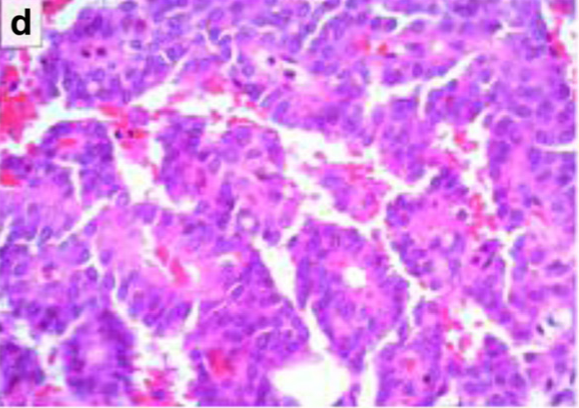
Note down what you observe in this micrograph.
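This high-power view shows a tumor made of small, uniform cells with oval nuclei. The cells are packed in cords and clusters that sit around thin cores containing red blood cells, the fibrovascular cores. The nuclei are dark purple and look much alike in size and shape, and each cell has a modest rim of pink cytoplasm. Clefts separate the cell clusters from one another.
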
